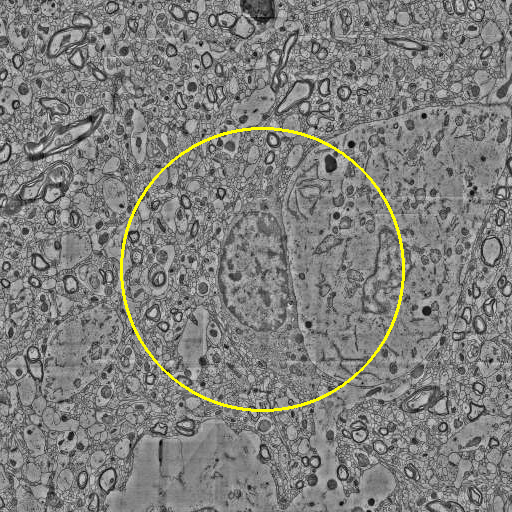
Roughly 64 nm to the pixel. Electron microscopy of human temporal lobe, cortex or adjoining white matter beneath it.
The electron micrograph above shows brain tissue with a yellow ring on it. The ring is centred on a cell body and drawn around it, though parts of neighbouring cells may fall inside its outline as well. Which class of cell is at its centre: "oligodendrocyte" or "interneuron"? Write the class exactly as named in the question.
oligodendrocyte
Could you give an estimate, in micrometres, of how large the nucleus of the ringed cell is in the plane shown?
Roughly 8 by 5 micrometers, clearly longer than it is wide in this plane.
